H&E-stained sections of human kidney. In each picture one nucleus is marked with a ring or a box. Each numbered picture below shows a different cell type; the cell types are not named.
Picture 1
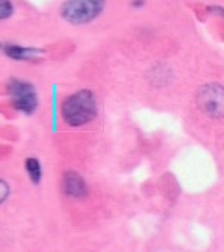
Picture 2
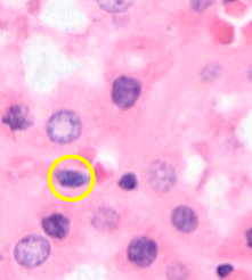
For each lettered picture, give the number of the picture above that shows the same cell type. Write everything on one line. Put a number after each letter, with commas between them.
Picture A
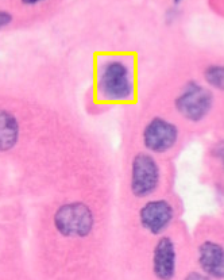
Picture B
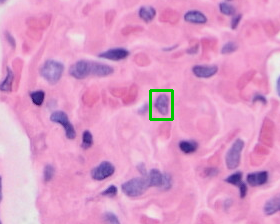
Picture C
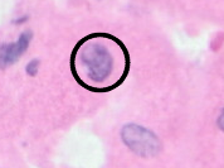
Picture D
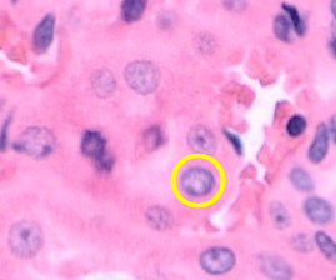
A 2, B 2, C 1, D 1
